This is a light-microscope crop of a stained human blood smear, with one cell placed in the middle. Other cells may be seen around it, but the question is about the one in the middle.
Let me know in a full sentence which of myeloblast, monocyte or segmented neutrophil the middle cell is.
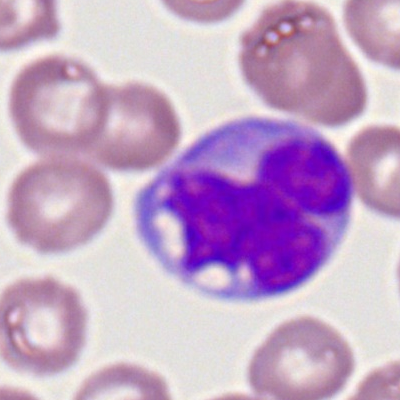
The identification for the central cell is a monocyte.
